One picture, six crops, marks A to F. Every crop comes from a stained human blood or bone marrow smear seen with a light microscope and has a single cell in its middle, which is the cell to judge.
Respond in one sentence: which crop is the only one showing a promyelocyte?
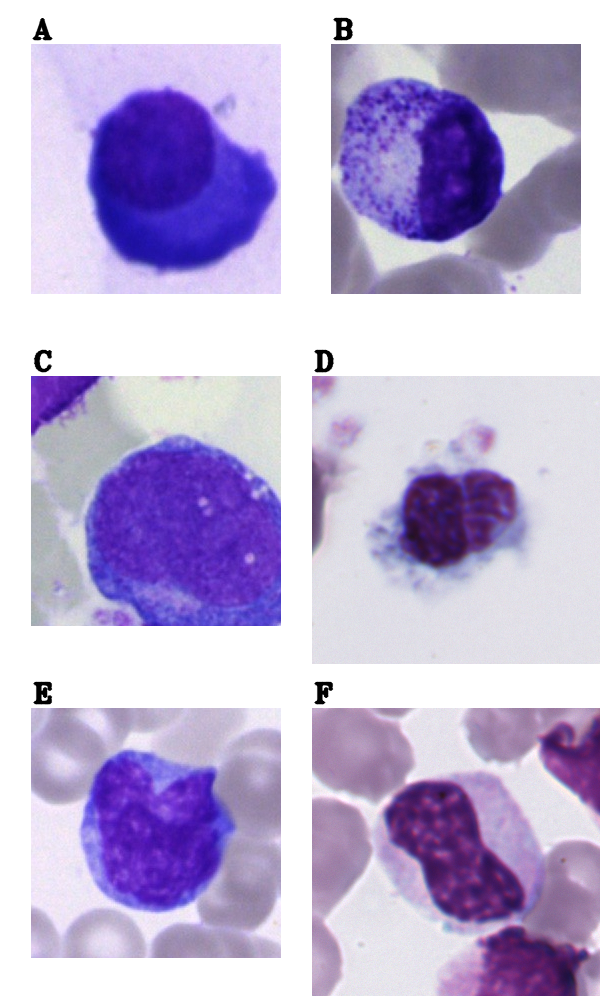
As for which crop shows a promyelocyte, it is crop B.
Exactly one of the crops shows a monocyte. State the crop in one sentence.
Crop E is identified as the crop showing a monocyte.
